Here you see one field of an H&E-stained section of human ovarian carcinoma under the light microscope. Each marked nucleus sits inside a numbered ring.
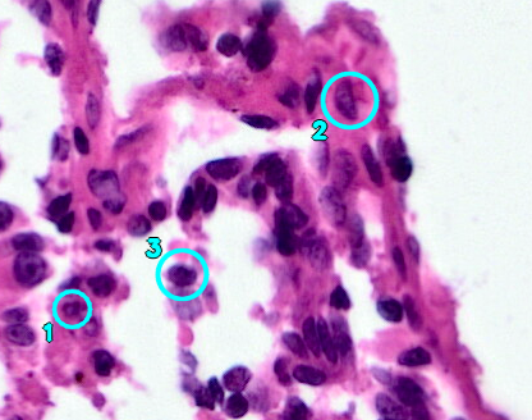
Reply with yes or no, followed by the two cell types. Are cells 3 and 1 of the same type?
Yes, the cell labelled 3 and the cell labelled 1 are both carcinoma cells.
